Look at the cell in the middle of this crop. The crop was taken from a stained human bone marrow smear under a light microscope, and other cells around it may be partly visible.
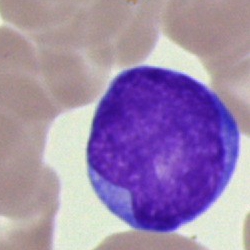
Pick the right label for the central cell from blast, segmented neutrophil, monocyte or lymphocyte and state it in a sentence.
The cell in the middle of this crop is a blast.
